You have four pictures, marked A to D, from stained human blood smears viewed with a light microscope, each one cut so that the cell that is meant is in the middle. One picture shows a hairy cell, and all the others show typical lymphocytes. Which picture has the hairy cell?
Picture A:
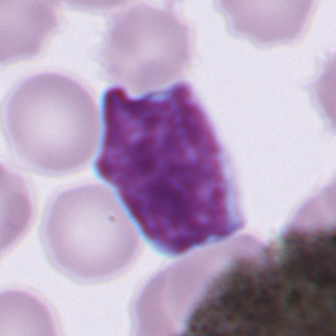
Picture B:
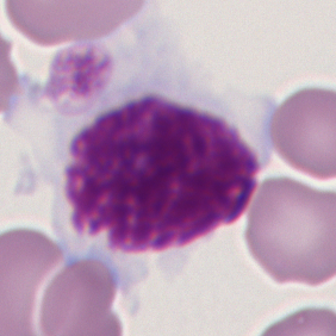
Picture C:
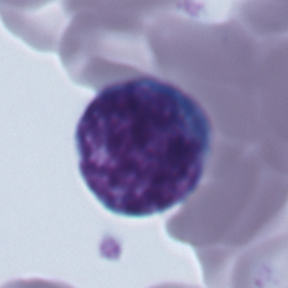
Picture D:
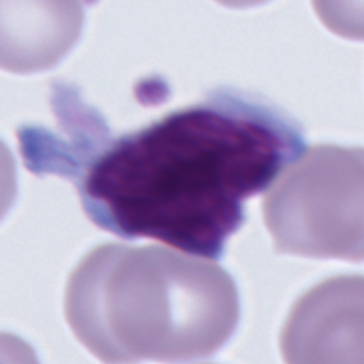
B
